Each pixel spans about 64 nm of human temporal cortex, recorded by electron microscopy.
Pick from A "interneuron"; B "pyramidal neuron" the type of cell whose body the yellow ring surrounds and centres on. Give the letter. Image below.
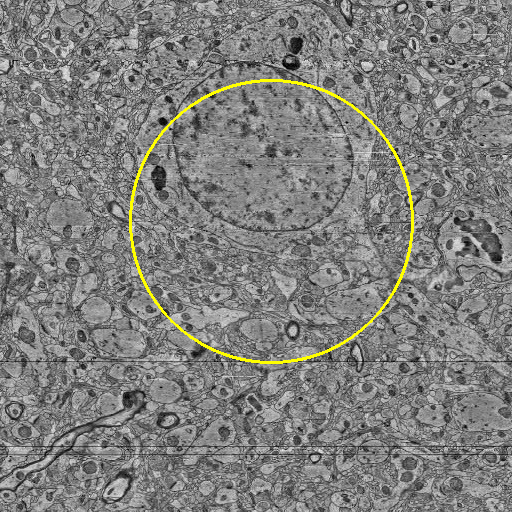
B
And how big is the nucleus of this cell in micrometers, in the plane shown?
Approximately 12 micrometers across in this plane.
